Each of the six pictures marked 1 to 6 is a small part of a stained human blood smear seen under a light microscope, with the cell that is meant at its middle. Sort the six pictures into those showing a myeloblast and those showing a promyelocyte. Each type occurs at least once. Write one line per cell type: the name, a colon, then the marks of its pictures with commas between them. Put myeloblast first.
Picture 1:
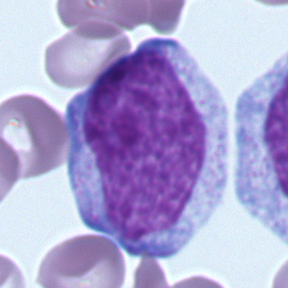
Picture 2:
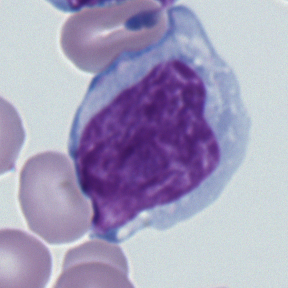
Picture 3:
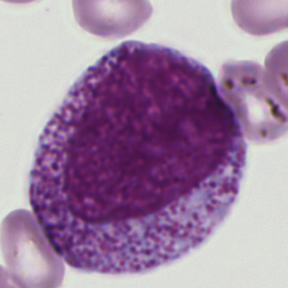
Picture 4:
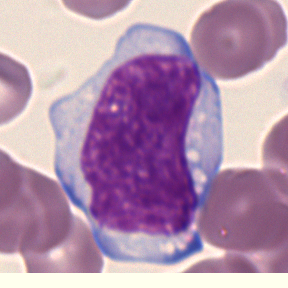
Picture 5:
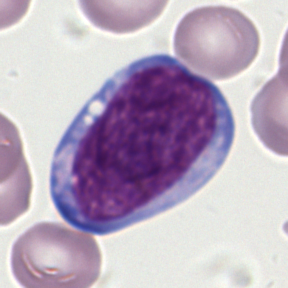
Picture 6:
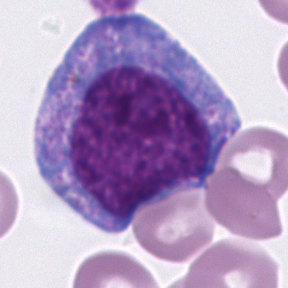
myeloblast: 2, 4, 5
promyelocyte: 1, 3, 6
